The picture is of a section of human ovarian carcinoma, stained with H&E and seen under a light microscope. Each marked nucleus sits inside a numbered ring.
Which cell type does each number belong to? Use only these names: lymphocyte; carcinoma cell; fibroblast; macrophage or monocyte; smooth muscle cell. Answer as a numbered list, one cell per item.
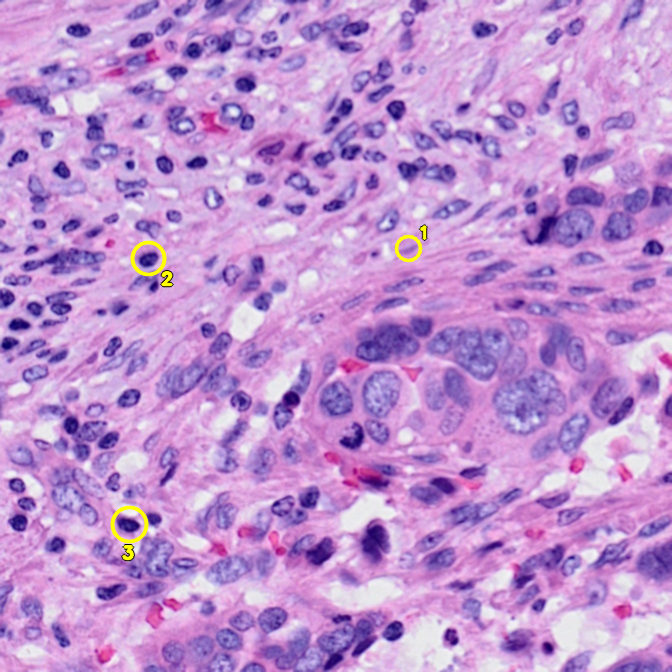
1. fibroblast
2. lymphocyte
3. lymphocyte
